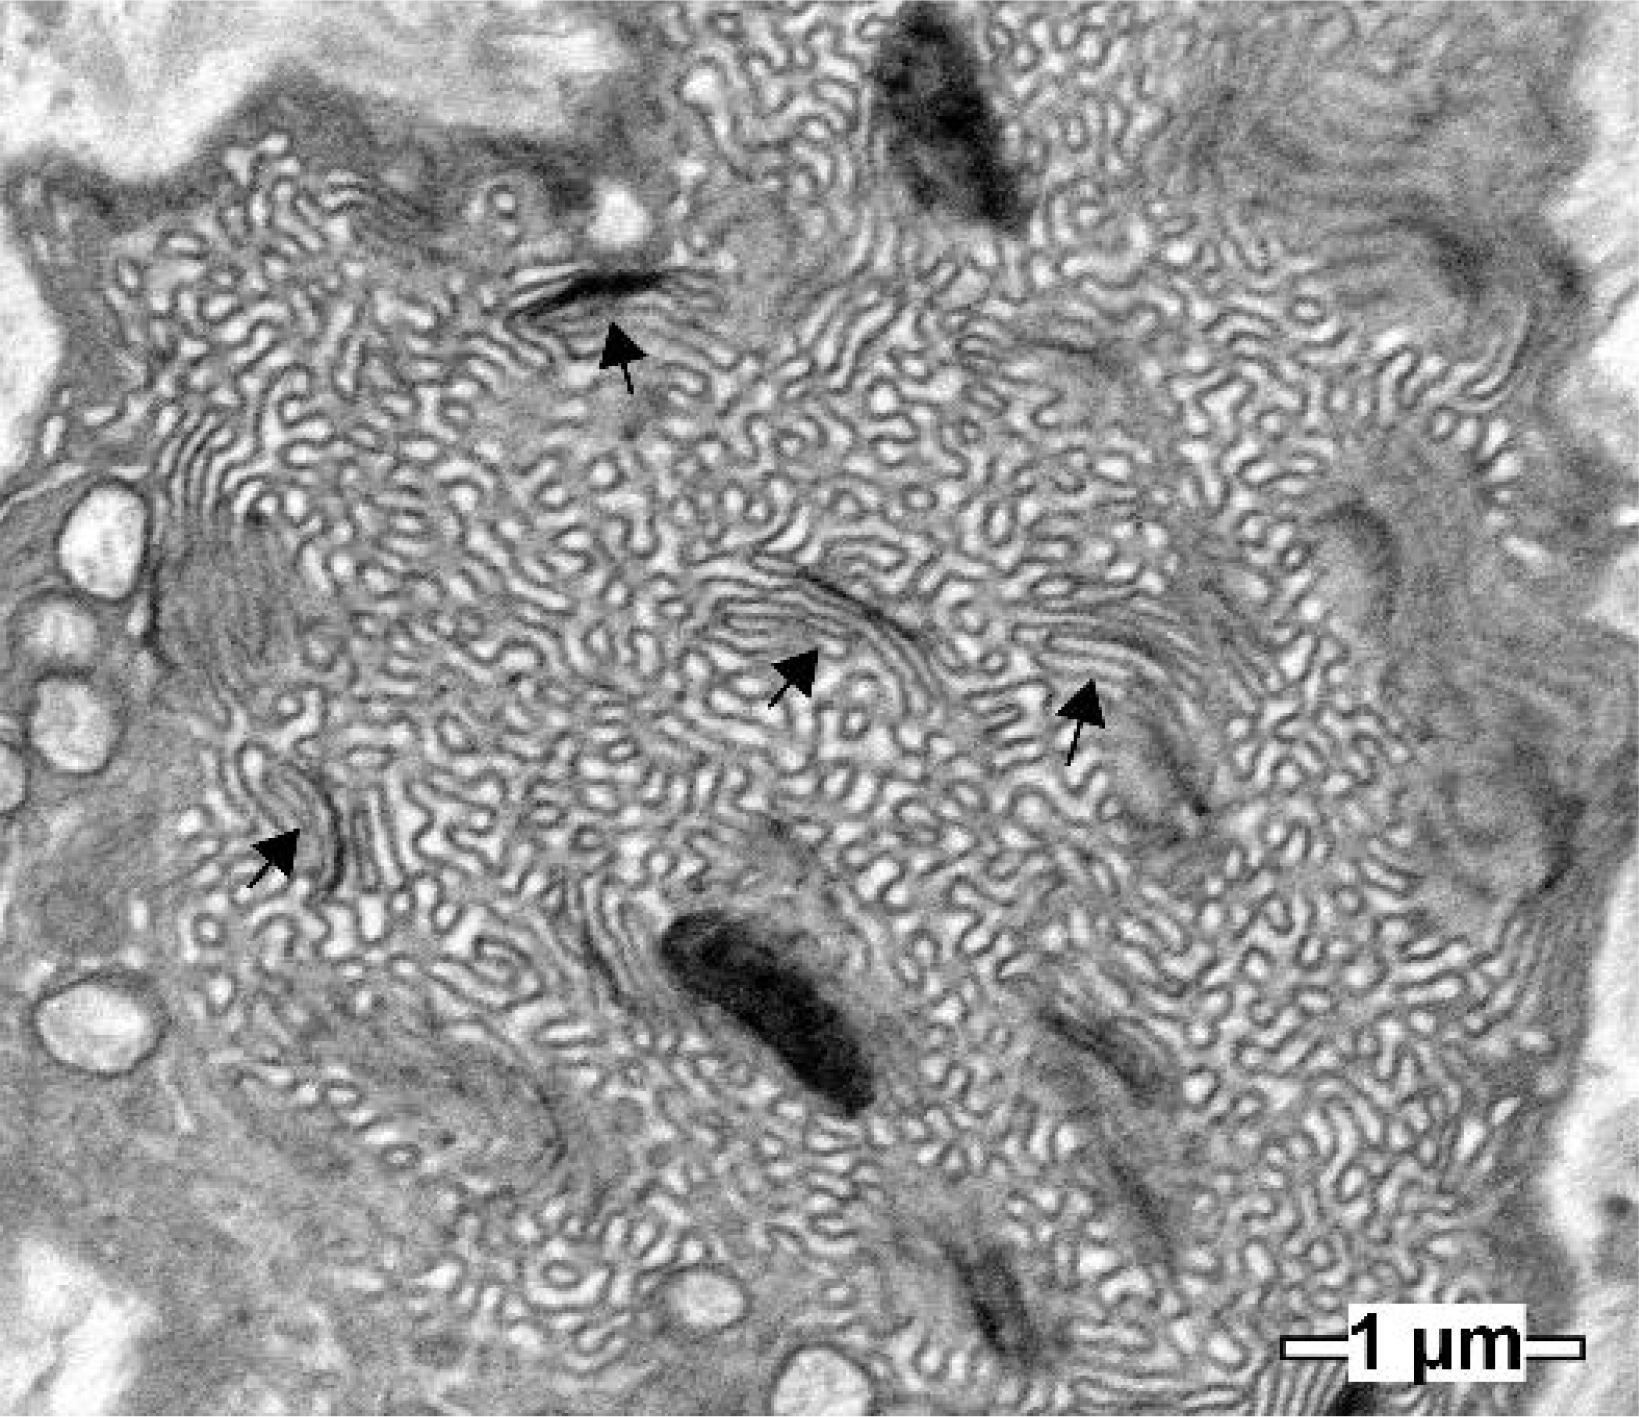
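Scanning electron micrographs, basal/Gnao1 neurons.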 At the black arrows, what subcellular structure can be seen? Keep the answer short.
stacked membranes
